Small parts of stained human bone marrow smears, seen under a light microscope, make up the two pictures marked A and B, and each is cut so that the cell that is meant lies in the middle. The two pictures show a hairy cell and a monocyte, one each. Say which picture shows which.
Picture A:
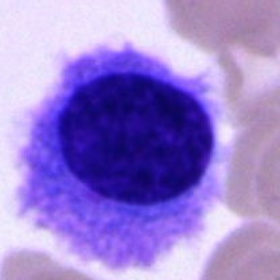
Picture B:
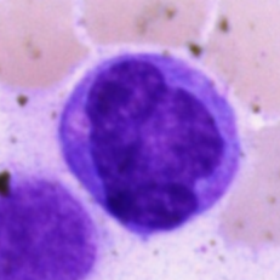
A: hairy cell
B: monocyte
